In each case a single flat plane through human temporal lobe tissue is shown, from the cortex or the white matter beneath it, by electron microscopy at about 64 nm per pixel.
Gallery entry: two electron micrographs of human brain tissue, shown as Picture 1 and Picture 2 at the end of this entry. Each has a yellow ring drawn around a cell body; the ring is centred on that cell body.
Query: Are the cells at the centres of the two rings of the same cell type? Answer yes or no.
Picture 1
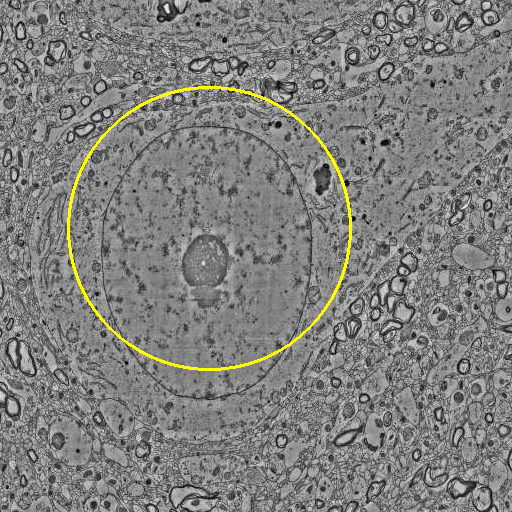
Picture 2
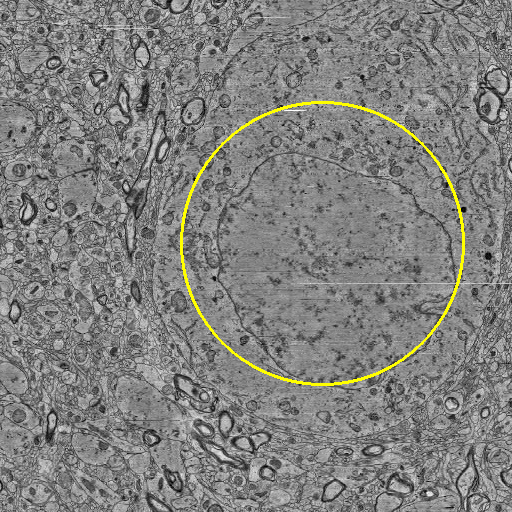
yes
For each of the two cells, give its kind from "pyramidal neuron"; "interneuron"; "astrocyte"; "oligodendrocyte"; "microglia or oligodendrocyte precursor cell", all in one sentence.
The cell at the ring centre is a pyramidal neuron in both pictures.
